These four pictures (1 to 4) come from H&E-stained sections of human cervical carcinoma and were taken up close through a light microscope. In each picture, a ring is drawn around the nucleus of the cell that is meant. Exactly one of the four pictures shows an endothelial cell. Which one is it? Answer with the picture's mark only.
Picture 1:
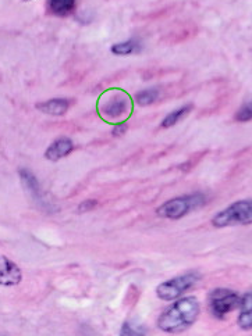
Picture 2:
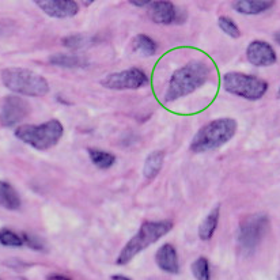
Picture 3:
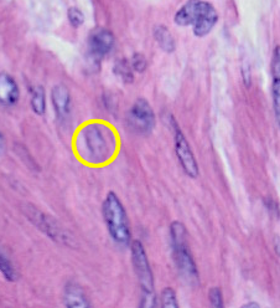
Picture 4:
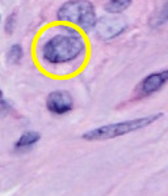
4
